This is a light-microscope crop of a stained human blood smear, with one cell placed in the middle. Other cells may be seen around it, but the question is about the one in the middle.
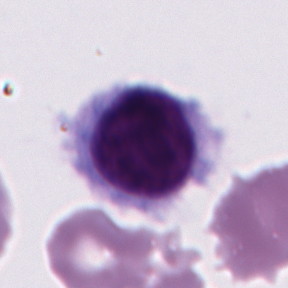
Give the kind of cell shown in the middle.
hairy cell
